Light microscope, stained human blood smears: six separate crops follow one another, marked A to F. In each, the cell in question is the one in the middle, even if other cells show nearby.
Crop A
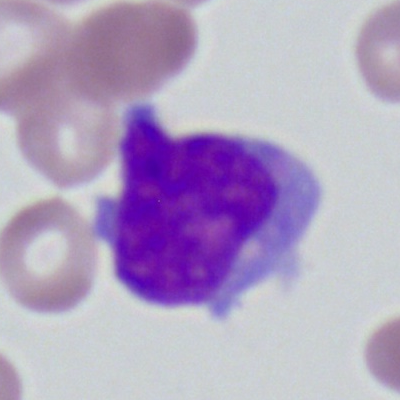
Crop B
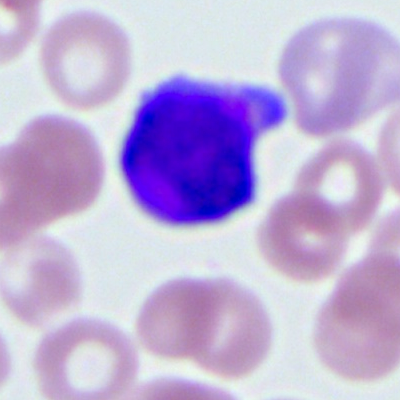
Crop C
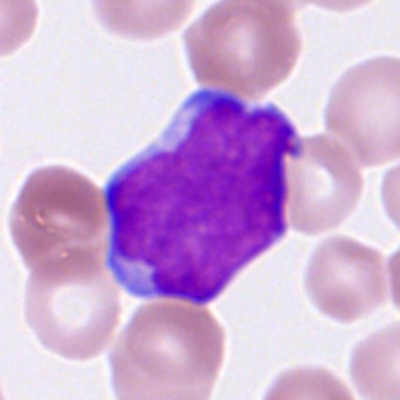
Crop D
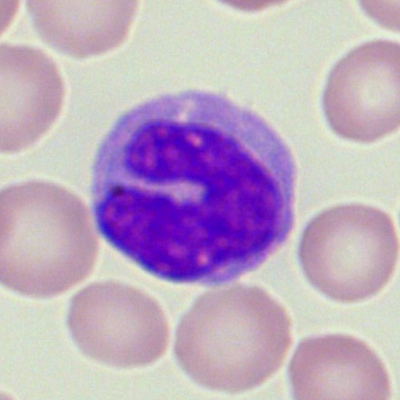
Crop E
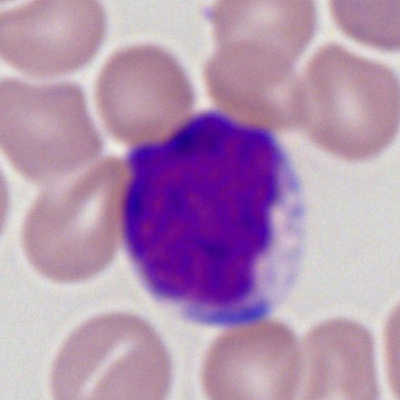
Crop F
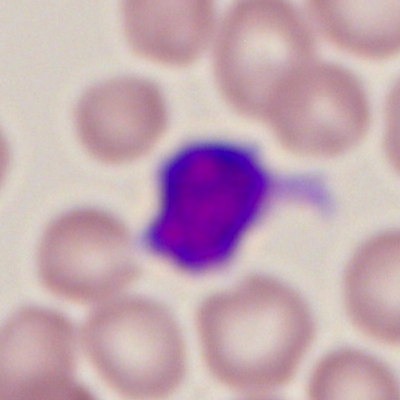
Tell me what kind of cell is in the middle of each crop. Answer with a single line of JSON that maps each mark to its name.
{"A": "monocyte", "B": "myeloblast", "C": "myeloblast", "D": "monocyte", "E": "myeloblast", "F": "lymphocyte"}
